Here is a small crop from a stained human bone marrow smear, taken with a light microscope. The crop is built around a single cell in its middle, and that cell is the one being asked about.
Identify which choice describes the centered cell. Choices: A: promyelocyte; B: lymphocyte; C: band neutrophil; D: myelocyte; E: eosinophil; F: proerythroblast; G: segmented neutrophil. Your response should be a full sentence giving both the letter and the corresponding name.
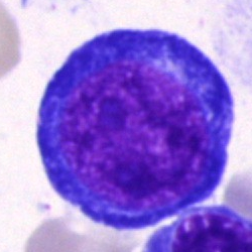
Here the central cell is a proerythroblast, and option F is correct.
